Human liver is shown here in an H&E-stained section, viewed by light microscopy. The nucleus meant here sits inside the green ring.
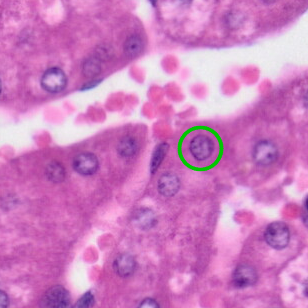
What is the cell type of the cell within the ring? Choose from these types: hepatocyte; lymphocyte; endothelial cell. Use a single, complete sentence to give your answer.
The identity of the cell within the ring: it is a hepatocyte.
